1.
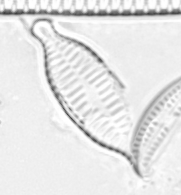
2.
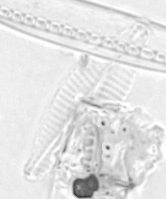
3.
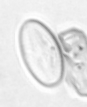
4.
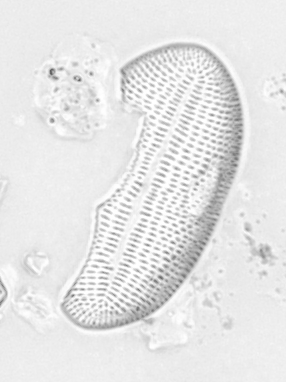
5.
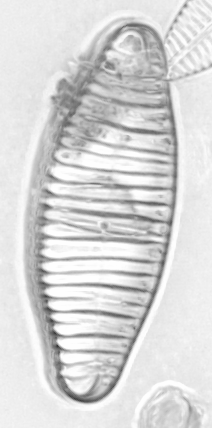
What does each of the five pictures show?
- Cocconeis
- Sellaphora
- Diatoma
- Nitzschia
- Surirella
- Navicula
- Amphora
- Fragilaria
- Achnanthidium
1. Fragilaria
2. Navicula
3. Sellaphora
4. Cocconeis
5. Diatoma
